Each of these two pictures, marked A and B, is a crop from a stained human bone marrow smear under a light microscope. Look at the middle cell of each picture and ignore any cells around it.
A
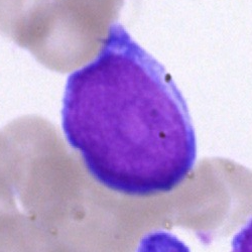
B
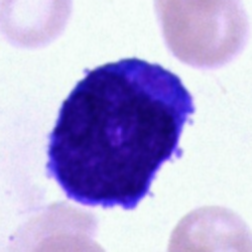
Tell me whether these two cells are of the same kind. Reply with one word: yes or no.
yes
